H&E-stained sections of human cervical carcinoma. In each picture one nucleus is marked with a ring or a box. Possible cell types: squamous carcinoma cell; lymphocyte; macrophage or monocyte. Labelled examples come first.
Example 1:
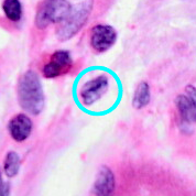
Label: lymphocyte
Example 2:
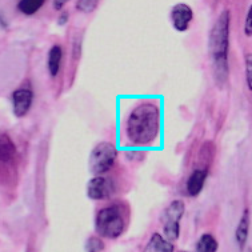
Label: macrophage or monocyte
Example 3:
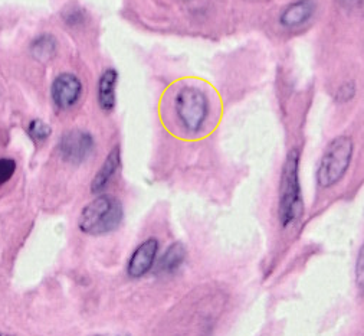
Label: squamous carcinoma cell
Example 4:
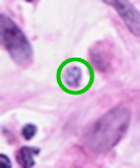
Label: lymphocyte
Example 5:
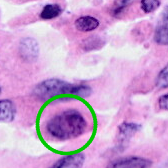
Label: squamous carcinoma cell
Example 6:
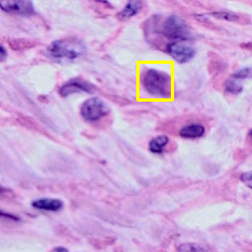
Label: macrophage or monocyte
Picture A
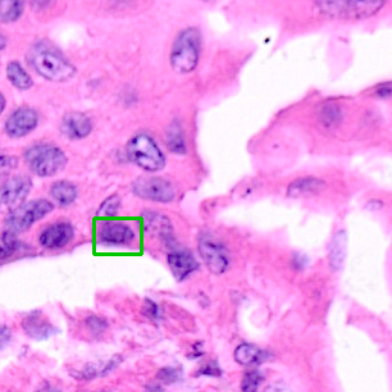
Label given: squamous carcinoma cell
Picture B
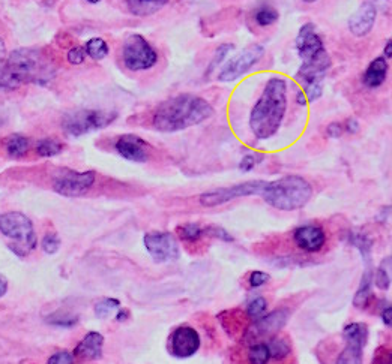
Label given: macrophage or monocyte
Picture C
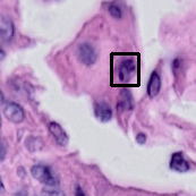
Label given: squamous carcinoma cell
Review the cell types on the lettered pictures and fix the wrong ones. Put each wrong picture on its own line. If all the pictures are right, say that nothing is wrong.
Every label is right.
